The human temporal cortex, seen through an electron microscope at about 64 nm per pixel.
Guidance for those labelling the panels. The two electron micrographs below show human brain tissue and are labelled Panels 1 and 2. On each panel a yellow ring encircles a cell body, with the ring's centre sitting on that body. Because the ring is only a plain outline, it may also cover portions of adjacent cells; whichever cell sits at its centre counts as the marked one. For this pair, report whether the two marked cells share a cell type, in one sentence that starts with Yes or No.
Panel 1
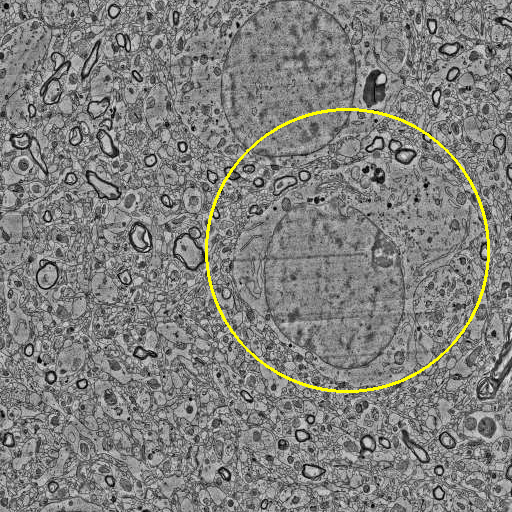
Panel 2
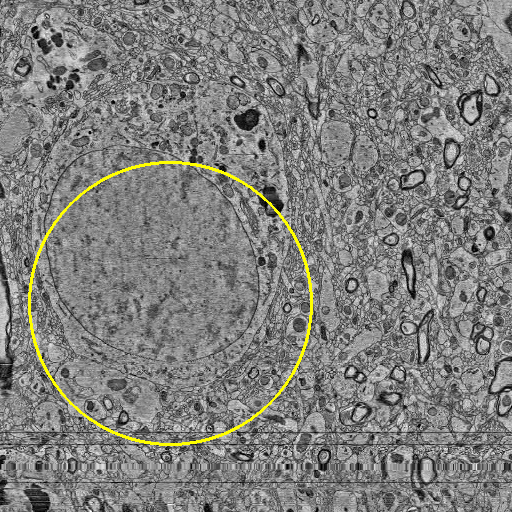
No, in Panel 1 and Panel 2 the marked cells at the ring centres are of two types.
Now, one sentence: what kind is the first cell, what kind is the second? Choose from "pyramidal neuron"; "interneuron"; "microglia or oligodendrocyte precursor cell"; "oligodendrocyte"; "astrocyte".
The first picture has an interneuron at its ring centre, and the second has a pyramidal neuron.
